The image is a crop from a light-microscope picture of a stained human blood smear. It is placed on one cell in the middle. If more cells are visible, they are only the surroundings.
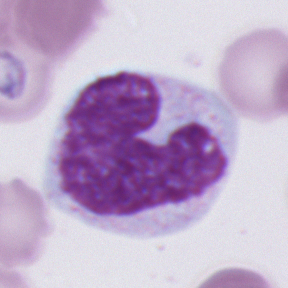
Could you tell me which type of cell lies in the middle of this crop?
monocyte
